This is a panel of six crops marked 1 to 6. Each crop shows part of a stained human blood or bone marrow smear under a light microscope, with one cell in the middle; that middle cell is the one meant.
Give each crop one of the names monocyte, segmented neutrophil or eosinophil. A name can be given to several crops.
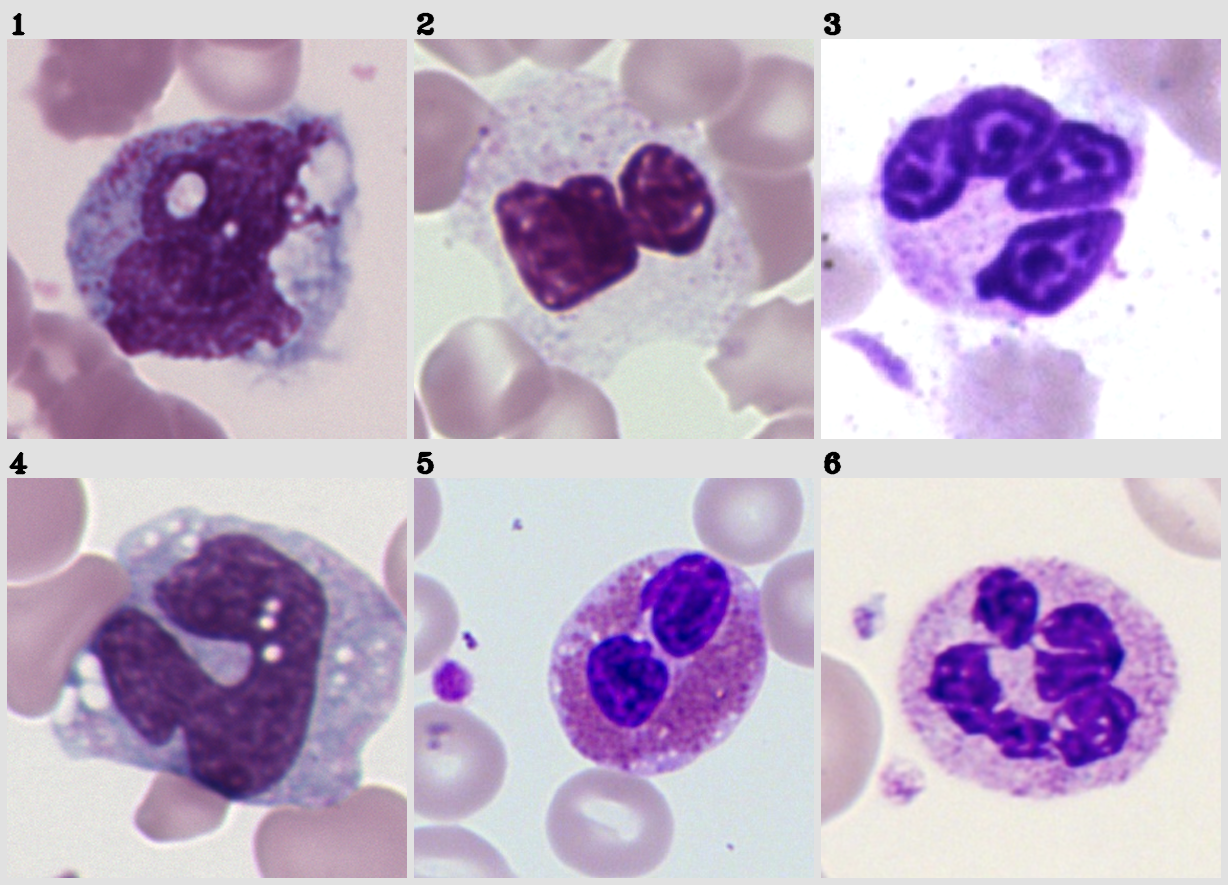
1: monocyte
2: segmented neutrophil
3: segmented neutrophil
4: monocyte
5: eosinophil
6: segmented neutrophil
